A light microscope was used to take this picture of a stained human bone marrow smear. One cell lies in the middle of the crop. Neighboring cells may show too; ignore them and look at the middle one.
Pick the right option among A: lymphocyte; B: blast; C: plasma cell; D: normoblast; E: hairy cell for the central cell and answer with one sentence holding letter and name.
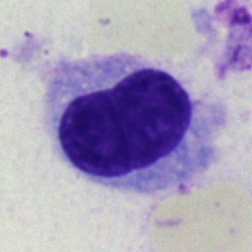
The cell in the middle is correctly identified as a hairy cell in option E.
